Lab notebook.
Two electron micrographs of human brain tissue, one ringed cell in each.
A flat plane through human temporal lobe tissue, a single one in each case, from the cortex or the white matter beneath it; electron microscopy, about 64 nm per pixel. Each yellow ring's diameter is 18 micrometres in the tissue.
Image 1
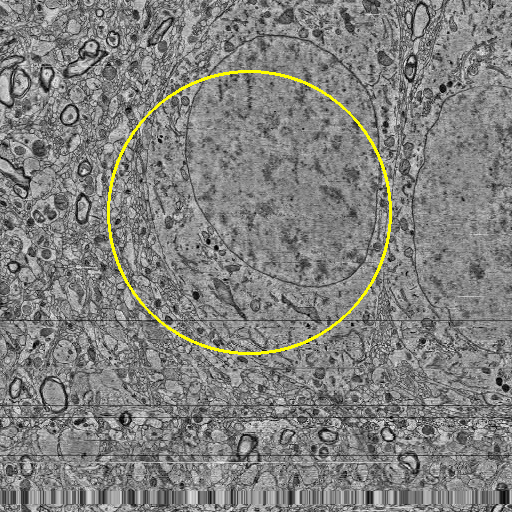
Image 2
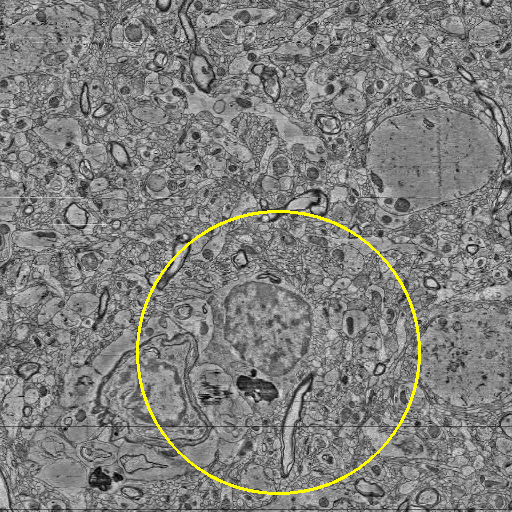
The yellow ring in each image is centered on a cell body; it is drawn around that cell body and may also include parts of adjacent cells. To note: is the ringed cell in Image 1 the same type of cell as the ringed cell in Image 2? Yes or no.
no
